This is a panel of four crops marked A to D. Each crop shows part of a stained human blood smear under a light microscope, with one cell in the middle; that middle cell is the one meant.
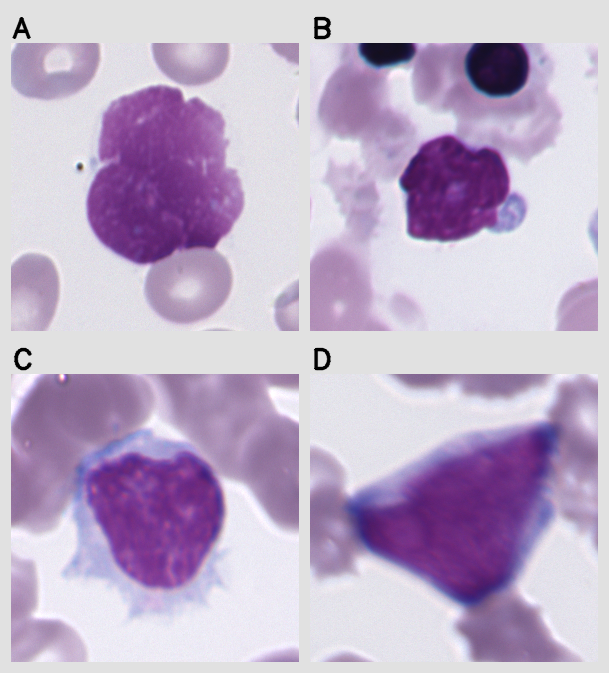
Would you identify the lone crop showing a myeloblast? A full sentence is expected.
So the crop with a myeloblast at its center is crop D.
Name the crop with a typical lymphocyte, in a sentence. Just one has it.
The one showing a typical lymphocyte is the crop labelled B.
